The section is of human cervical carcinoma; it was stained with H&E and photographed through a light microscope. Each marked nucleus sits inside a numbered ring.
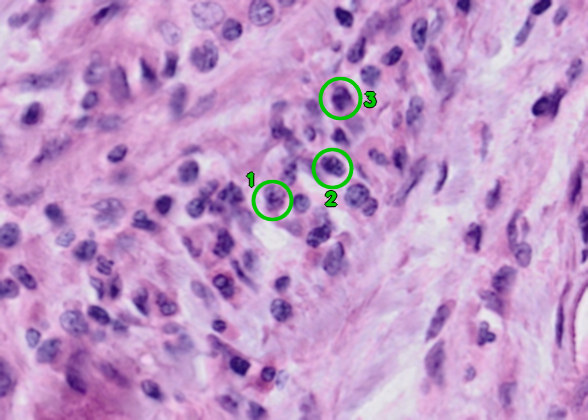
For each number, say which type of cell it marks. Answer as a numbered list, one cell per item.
1. macrophage or monocyte
2. lymphocyte
3. lymphocyte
